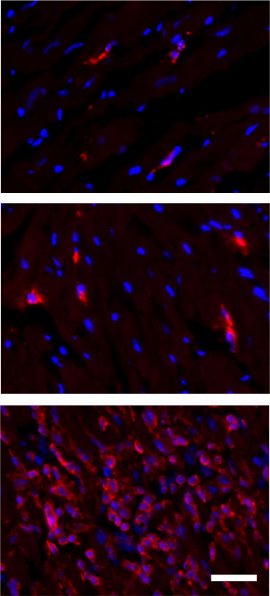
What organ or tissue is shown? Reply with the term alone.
Myocardium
